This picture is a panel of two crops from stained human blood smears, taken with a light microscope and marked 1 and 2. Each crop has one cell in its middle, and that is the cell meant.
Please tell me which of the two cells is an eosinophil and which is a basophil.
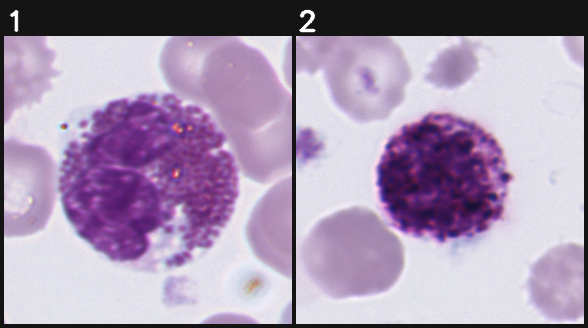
1: eosinophil
2: basophil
